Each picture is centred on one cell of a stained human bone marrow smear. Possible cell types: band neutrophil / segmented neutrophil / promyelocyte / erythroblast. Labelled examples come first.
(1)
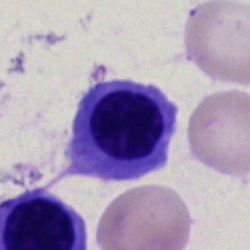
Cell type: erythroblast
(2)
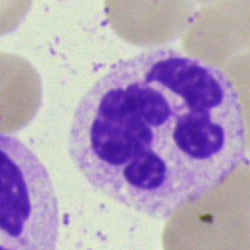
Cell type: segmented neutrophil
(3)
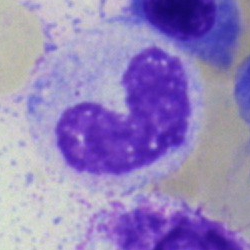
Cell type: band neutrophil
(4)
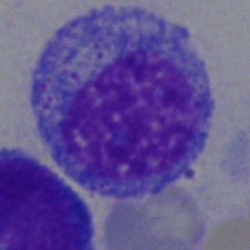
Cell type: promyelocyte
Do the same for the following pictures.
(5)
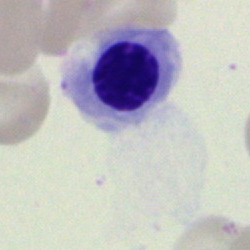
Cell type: erythroblast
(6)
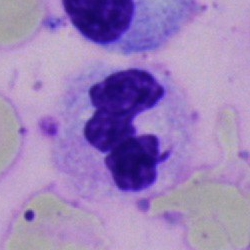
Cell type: segmented neutrophil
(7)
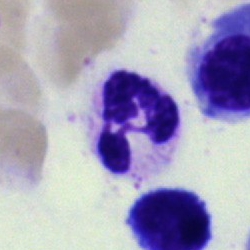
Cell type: segmented neutrophil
